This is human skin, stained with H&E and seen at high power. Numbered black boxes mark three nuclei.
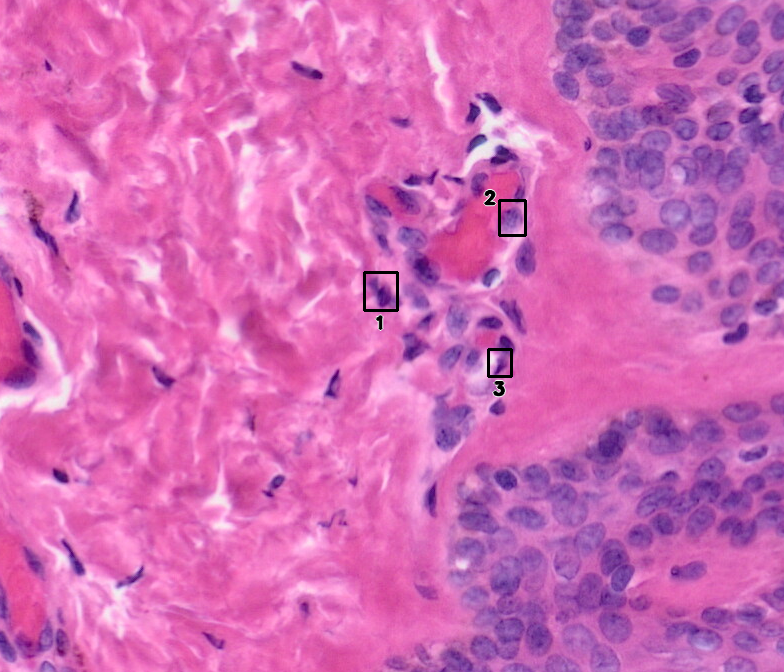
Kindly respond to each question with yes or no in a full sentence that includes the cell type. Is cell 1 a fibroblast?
Yes, the cell that is numbered 1 is a fibroblast.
